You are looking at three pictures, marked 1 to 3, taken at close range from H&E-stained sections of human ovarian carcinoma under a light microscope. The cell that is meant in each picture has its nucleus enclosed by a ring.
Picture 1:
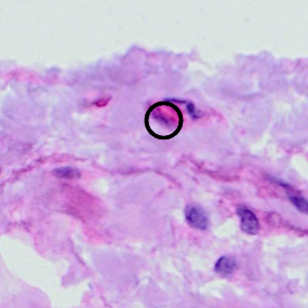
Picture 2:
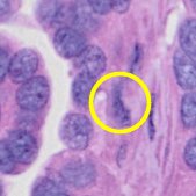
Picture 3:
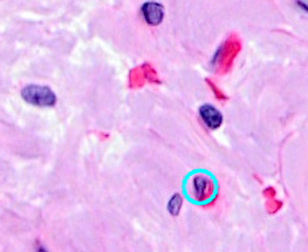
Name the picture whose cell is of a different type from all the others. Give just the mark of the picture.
2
